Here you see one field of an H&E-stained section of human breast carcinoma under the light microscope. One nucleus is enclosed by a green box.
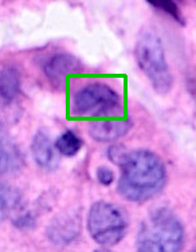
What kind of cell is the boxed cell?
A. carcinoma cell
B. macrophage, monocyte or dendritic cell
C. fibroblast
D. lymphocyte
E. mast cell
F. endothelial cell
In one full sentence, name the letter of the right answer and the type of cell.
Option A is correct in that the boxed cell is a carcinoma cell.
